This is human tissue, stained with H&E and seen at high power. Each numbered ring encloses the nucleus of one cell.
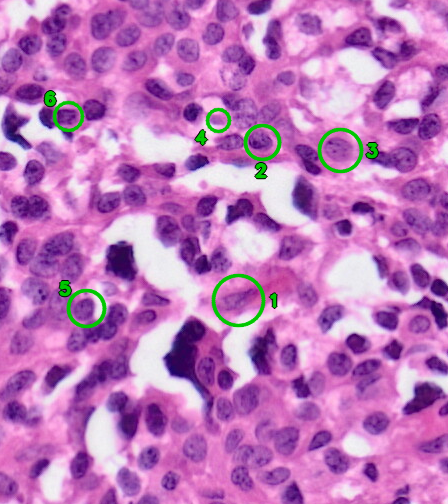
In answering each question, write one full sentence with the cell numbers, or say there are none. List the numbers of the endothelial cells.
Cell 1 is an endothelial cell, while every other numbered cell is not.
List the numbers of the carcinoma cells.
Into the category of carcinoma cells fall the cells numbered 3 and 5.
